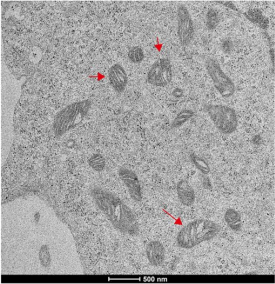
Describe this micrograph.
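The mitochondria are oval to elongated, electron-dense profiles bounded by membranes. Pale, lamellar cristae run across their interior, giving them a striped look. They lie scattered in a finely granular cytoplasm.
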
